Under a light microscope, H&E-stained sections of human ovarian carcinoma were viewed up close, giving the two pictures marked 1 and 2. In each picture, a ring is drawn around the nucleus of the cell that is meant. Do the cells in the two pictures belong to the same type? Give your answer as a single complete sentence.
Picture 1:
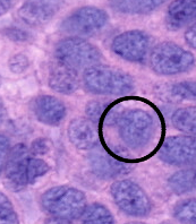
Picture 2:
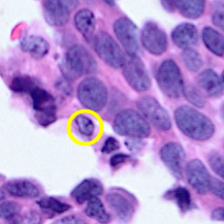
No, picture 1 shows a carcinoma cell and picture 2 shows a “macrophage or monocyte”.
